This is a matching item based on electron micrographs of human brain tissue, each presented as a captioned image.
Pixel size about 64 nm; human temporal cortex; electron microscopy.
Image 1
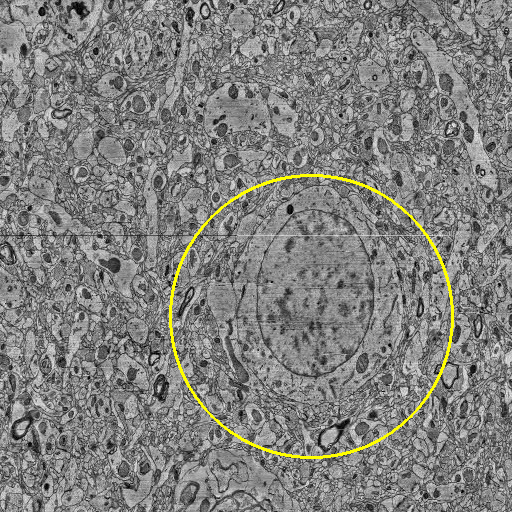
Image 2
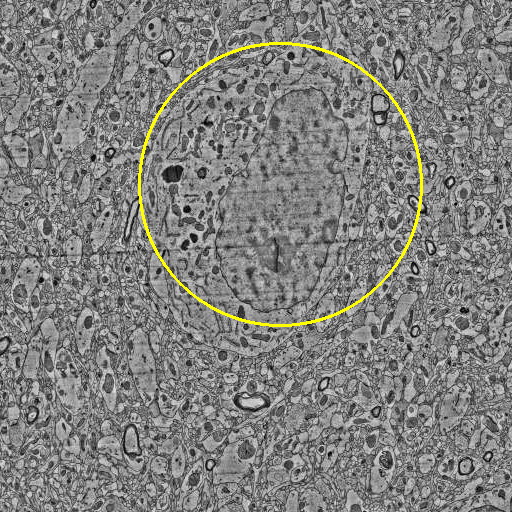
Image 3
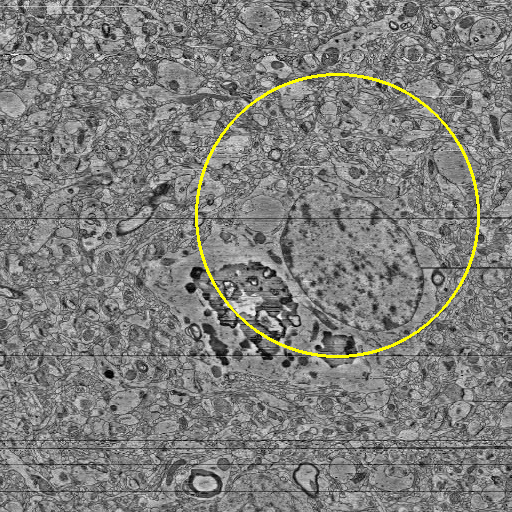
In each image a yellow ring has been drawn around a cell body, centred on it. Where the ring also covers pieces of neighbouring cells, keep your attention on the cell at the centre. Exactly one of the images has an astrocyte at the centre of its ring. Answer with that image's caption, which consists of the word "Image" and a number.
Image 3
